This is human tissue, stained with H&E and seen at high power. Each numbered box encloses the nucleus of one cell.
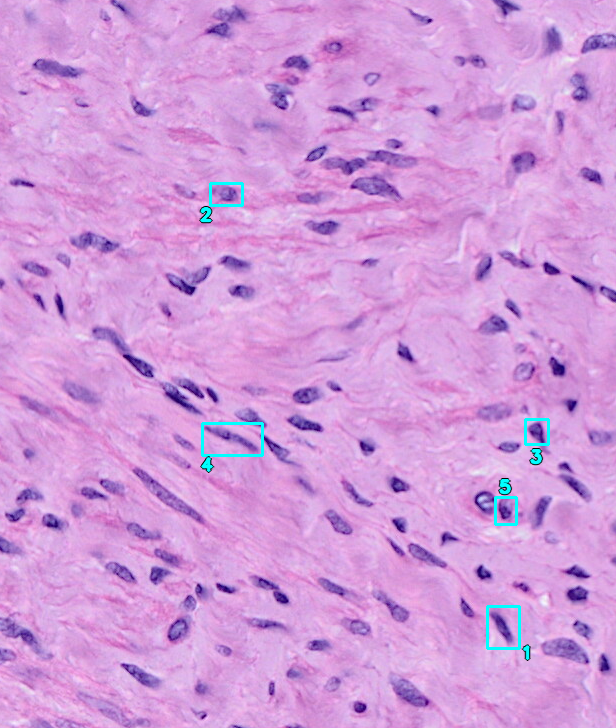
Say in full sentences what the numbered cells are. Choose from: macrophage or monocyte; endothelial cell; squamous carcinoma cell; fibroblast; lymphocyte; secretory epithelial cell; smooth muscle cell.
Cells 1, 3 and 4 are fibroblasts. Cell 2 is a smooth muscle cell. Cell 5 is an endothelial cell.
